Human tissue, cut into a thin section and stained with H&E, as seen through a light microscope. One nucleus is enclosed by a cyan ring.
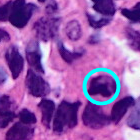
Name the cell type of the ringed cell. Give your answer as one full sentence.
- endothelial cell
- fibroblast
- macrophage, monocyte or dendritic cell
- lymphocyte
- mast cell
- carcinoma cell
The ringed cell appears to be a carcinoma cell.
